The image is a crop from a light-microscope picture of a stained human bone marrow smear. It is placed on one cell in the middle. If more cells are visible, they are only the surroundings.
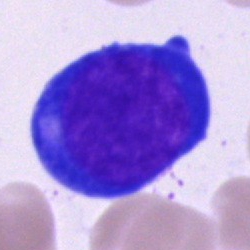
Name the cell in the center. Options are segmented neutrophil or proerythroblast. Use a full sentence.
In this crop, the cell at the very middle is a proerythroblast.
